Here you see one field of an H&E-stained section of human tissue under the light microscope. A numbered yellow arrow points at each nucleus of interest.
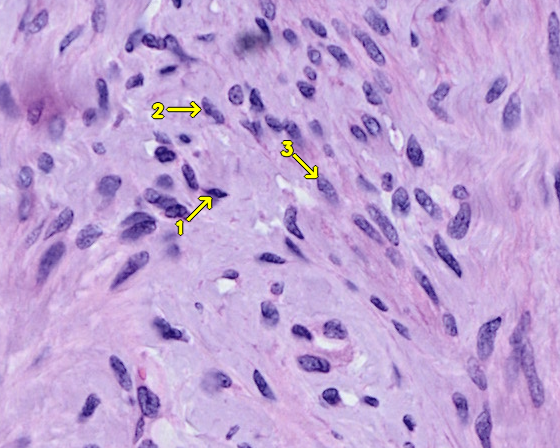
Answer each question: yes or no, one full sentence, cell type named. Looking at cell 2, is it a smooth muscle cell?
No, the one with number 2 is a fibroblast, not a smooth muscle cell.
